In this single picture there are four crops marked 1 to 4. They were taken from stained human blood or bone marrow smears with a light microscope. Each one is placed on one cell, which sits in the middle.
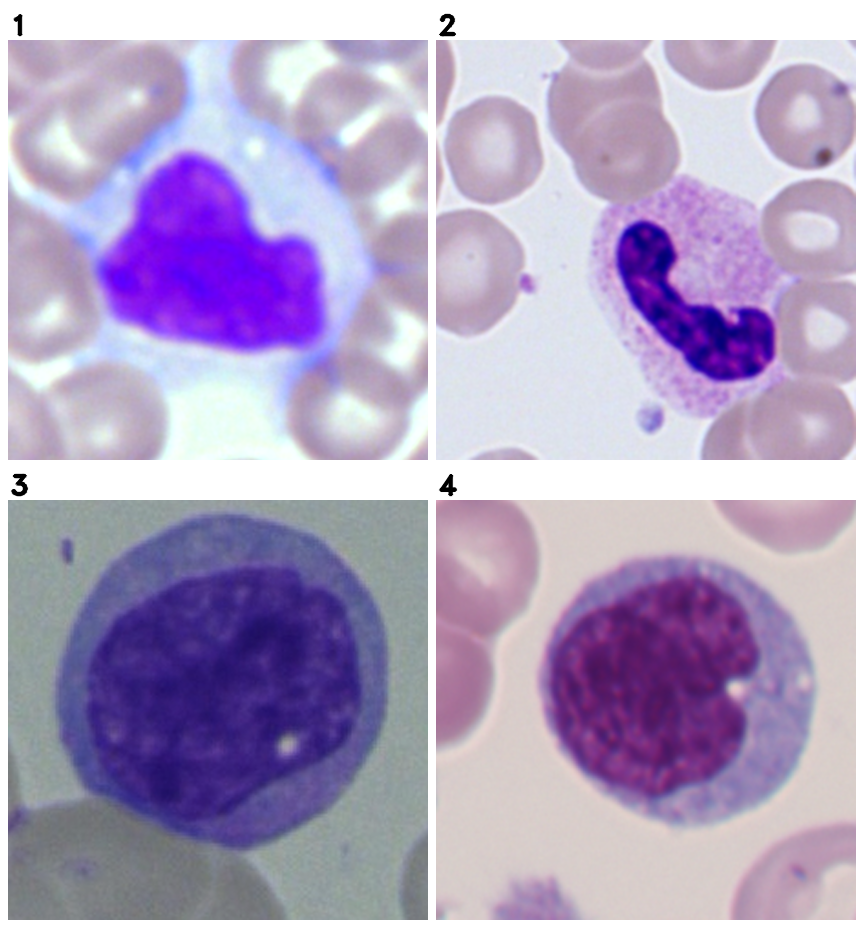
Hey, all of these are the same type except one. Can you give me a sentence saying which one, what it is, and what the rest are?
In this set the other crops all show monocytes, and crop 2 shows a band neutrophil.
